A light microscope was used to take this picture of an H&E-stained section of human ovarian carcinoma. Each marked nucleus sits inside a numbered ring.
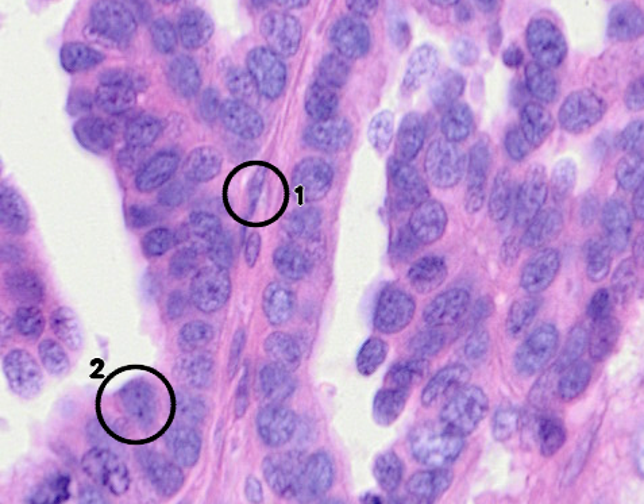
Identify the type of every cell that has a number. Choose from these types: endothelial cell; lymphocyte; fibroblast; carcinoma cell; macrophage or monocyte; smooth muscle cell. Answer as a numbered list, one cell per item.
1. fibroblast
2. carcinoma cell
